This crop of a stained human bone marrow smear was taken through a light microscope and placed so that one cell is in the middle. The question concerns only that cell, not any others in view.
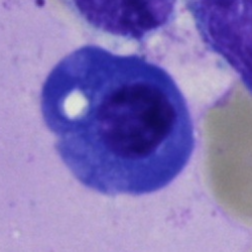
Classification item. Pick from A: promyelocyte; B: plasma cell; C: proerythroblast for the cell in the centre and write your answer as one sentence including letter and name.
Located in the middle of the crop is a plasma cell, and option B is therefore correct.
